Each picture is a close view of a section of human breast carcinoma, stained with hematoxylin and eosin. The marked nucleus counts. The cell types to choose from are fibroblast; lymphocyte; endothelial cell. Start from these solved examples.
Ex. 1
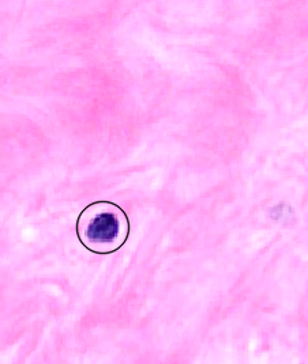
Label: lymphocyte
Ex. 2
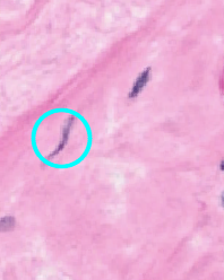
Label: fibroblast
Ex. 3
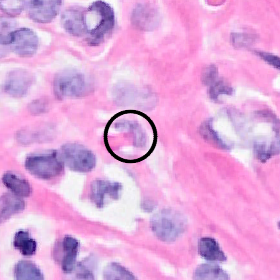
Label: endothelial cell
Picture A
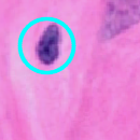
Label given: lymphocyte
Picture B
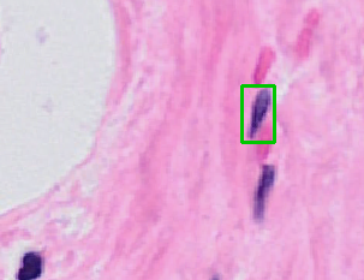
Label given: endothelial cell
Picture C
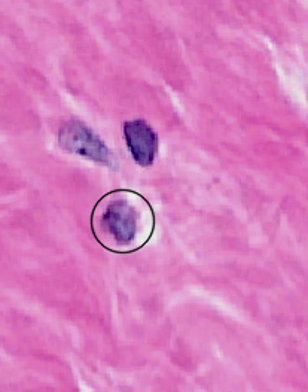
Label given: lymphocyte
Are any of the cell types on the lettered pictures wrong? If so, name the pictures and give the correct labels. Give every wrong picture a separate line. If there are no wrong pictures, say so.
All correct.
